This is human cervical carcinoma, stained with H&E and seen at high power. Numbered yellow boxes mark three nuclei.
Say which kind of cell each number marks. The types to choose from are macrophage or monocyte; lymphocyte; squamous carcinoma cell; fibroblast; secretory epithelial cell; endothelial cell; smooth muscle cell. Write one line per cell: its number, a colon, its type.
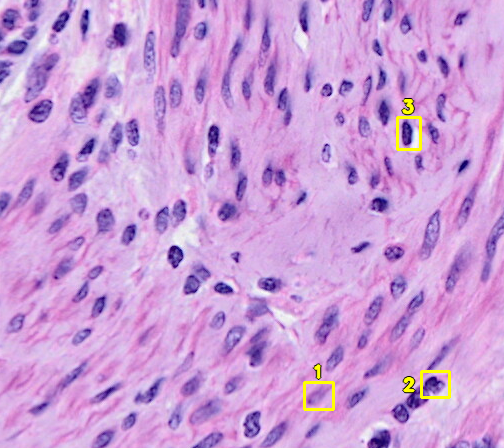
1: smooth muscle cell
2: lymphocyte
3: lymphocyte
